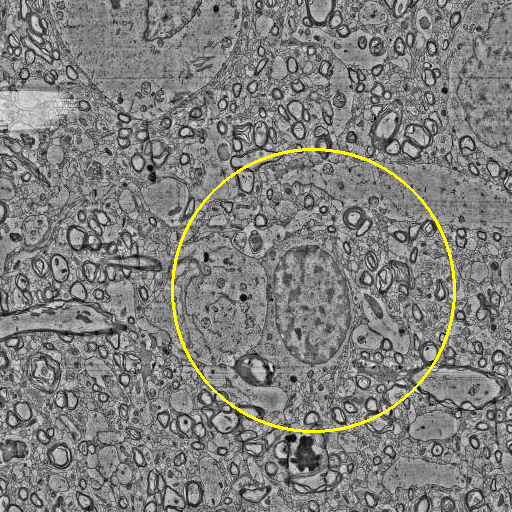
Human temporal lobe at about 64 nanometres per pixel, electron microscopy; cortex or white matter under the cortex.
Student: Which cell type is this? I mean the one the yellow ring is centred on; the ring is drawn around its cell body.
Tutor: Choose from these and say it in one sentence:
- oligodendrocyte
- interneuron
The cell the ring is centred on is an oligodendrocyte.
